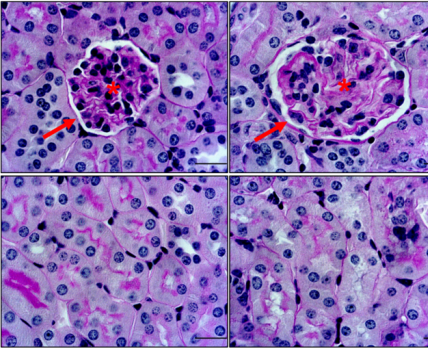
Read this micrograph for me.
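These are sections of renal cortex with a glomerulus in each upper image and tubules below, stained magenta along basement membranes and brush borders. Each glomerulus is a rounded tuft of capillary loops with many dark nuclei, enclosed by the thin lining of Bowman's capsule with a narrow urinary space between. The tubules are round profiles lined by cuboidal epithelial cells with pale pink cytoplasm and round dark nuclei, arranged closely with little between them.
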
